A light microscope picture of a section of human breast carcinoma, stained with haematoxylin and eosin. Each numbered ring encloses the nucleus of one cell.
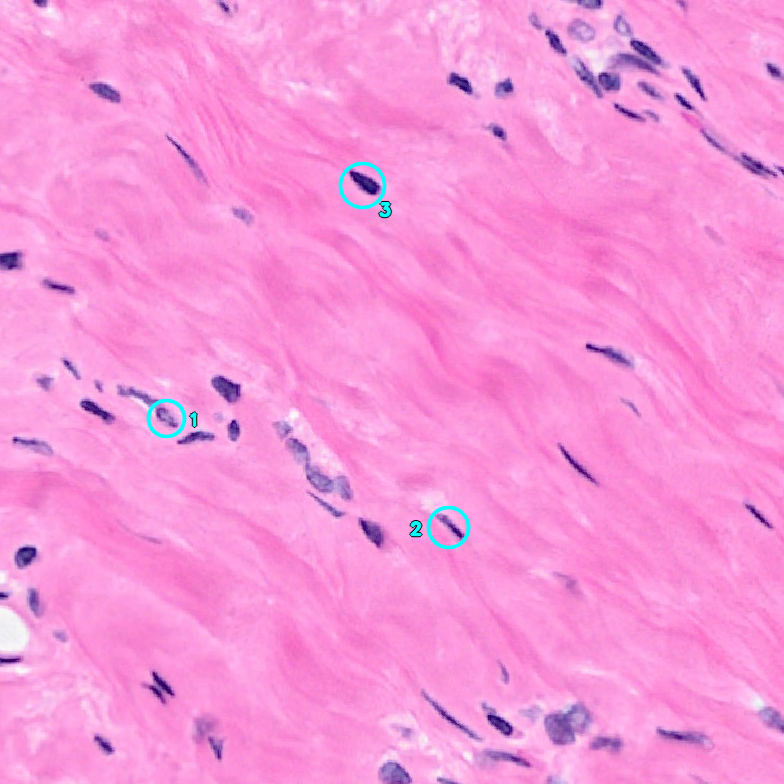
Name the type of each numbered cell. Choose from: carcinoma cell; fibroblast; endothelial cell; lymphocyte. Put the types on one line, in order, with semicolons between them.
endothelial cell; fibroblast; lymphocyte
